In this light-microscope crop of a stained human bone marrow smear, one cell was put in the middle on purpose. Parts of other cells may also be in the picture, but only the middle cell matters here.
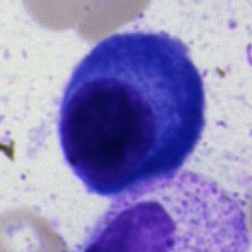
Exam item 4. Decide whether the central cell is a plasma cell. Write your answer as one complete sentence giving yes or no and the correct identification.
Yes, in the centre of this field sits a plasma cell.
